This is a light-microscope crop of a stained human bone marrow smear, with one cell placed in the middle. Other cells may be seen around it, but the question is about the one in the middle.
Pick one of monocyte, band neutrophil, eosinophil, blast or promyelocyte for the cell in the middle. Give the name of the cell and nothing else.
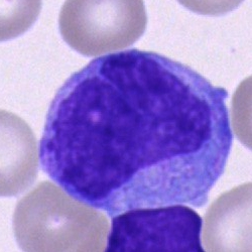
monocyte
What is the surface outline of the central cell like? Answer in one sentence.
No smooth contour is present; the border is ragged or extended into projections.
